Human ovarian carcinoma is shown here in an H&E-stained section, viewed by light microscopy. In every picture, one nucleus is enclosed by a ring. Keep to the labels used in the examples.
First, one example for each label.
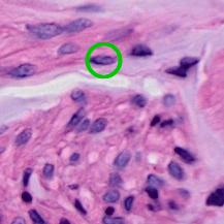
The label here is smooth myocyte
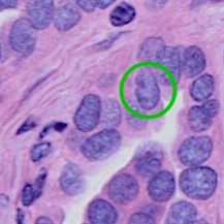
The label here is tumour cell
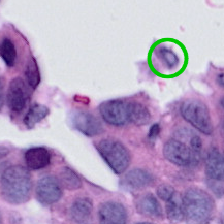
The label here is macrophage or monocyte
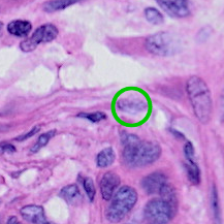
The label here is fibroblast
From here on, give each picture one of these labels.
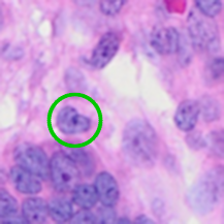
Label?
macrophage or monocyte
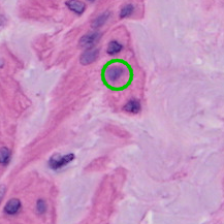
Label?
smooth myocyte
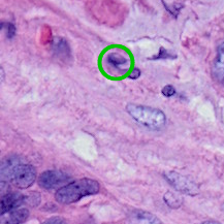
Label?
macrophage or monocyte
